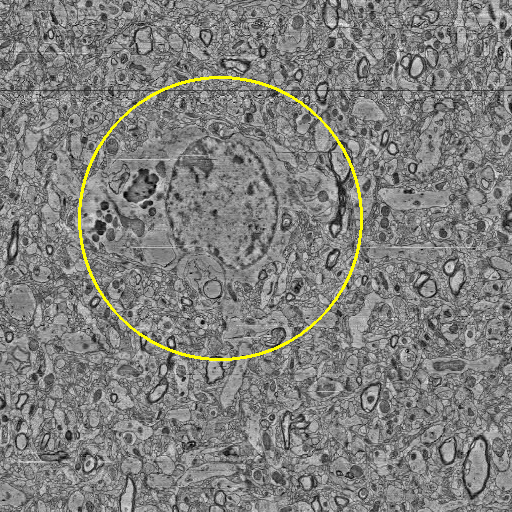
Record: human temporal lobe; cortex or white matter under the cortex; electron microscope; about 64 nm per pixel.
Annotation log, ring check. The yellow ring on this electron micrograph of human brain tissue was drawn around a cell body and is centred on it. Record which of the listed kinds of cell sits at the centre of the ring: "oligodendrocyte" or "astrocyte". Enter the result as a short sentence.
The cell at the centre of the ring is an astrocyte.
